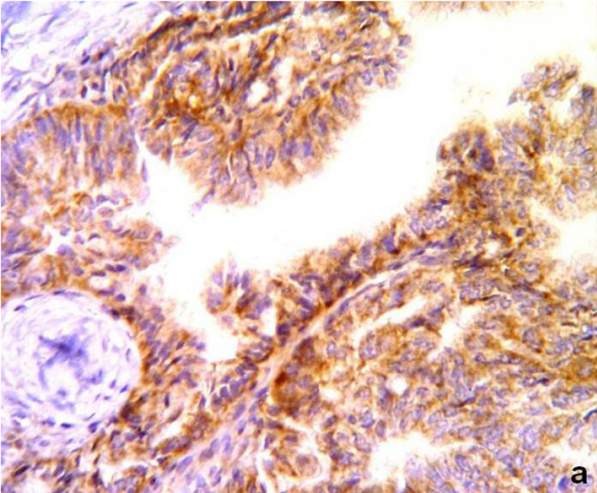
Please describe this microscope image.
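Tumour glands are lined by crowded columnar cells with elongated oval blue nuclei stacked in several layers. The glands lie back to back around irregular, empty white lumina, with only thin strands of stroma between them. Brown staining fills the cytoplasm of most lining cells diffusely, while the nuclei stay blue. The lining is irregular, with folds and budding toward the lumen. A rounded pale structure with concentric layering sits at the lower left corner, outside the glands.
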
